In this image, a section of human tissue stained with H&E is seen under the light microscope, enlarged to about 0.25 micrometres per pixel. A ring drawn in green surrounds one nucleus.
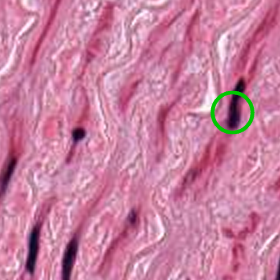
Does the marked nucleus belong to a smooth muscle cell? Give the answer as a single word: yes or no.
yes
